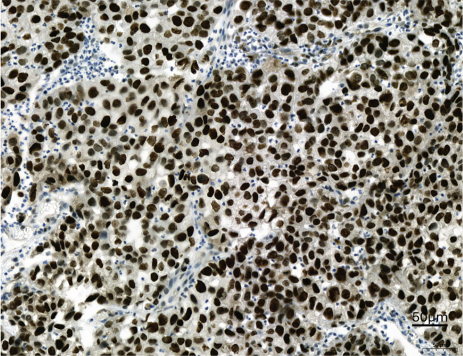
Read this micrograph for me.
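This is a carcinoma composed of sheets and nests of tightly packed tumour cells separated by thin strands of stroma. The tumour cells have large, rounded to oval nuclei that are stained dark brown, in most cells intensely, while their cytoplasm is pale and only faintly tinted. Nuclei vary somewhat in size and are crowded, with little space between neighbouring cells. Between the nests run narrow fibrovascular septa containing small, elongated cells with blue, unstained nuclei. The brown colour is thus confined almost entirely to the nuclei of the tumour cells.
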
